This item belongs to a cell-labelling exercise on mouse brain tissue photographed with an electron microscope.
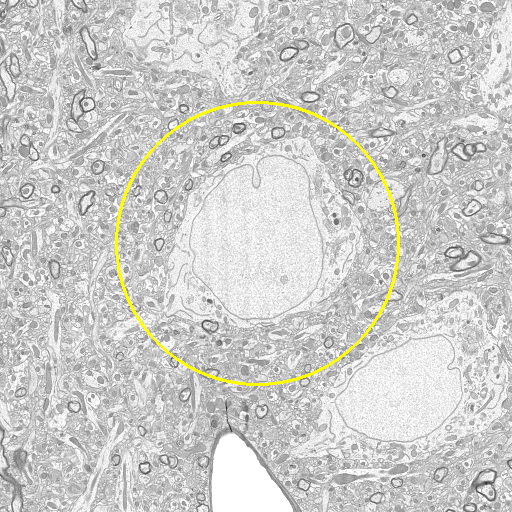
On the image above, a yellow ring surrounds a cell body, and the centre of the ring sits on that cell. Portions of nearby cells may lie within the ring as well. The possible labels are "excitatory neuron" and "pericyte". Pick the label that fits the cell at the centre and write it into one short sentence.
This cell should be labelled as an excitatory neuron.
